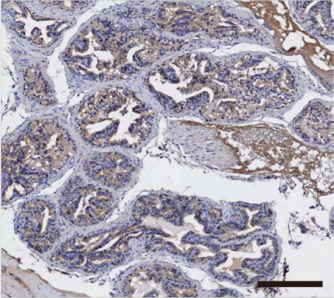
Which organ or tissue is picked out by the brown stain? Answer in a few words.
luminal epithelium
